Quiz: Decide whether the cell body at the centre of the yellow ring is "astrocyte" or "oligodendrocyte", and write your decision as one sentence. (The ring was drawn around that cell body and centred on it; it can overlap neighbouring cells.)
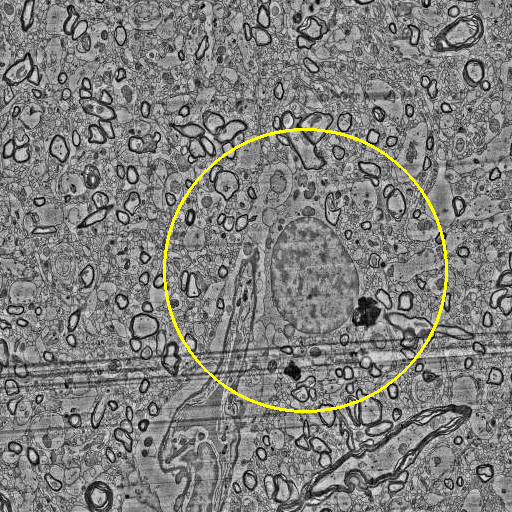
The cell the ring is centred on is an oligodendrocyte.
